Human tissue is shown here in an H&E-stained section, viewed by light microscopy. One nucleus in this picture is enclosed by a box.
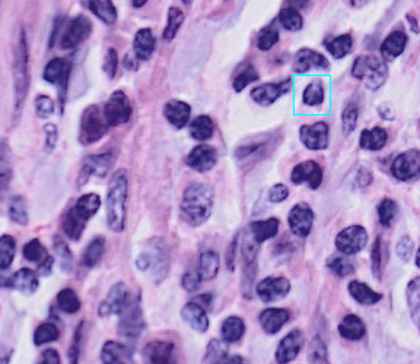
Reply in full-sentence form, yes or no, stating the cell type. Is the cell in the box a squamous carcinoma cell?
No, it is a lymphocyte, not a squamous carcinoma cell, that the cell in the box represents.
